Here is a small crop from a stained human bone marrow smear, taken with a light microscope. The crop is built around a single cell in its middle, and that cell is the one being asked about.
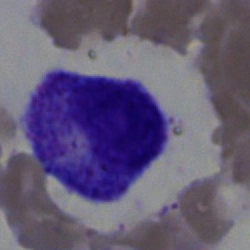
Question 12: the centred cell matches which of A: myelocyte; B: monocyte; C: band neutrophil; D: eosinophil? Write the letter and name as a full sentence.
Since the middle cell is a myelocyte, option A is the right one.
